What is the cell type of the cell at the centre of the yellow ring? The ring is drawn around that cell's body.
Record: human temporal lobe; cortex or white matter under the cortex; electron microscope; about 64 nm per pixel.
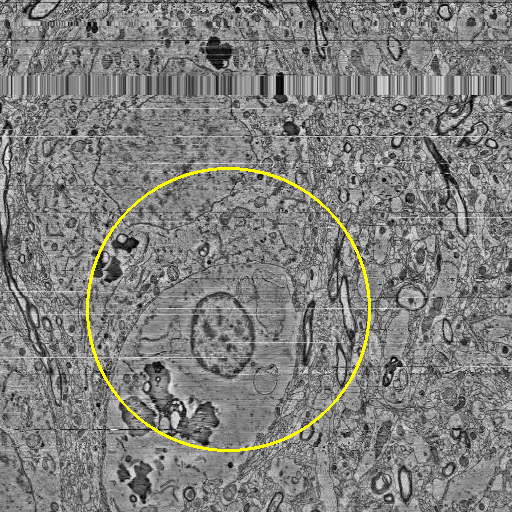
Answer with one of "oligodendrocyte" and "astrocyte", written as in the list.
astrocyte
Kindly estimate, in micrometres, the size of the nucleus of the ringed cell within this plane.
In this plane, the nucleus of the cell at the centre of the ring measures about 6 by 4 micrometres.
